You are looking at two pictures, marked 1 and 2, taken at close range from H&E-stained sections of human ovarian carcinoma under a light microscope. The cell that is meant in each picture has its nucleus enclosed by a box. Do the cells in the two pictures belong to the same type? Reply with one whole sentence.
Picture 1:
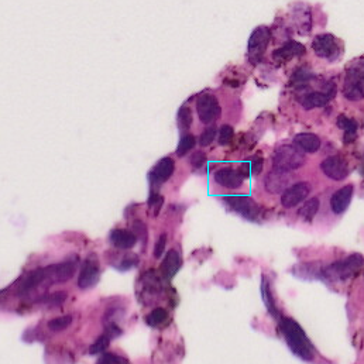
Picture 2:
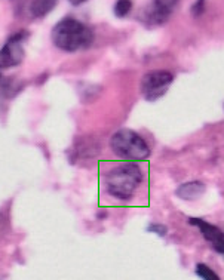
No, the types are not the same, since picture 1 shows a carcinoma cell and picture 2 a “macrophage or monocyte”.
